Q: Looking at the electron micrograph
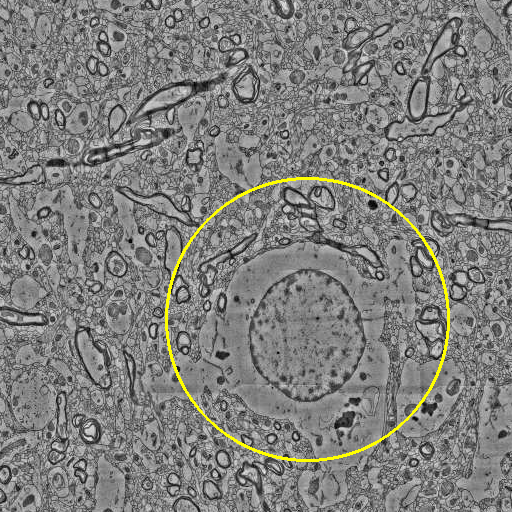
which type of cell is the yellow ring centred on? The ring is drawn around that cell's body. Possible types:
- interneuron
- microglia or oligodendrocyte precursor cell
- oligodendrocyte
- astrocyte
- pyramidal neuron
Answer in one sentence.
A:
The yellow ring is centred on an astrocyte.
